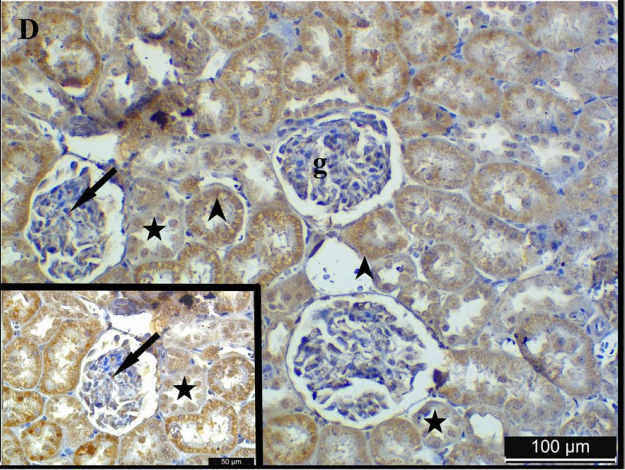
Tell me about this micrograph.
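This is renal cortex with several glomeruli lying among cross-sectioned tubules. Each glomerulus is a rounded tuft of capillaries with blue nuclei, set inside a clear space bounded by a thin capsule. The surrounding tubules are lined by cuboidal cells with light to moderate brown cytoplasm and mostly blue round nuclei. Some cells on the glomerular tufts show a faint brown tint. An inset at higher magnification shows a glomerulus beside tubules with brown-stained lining cells.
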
